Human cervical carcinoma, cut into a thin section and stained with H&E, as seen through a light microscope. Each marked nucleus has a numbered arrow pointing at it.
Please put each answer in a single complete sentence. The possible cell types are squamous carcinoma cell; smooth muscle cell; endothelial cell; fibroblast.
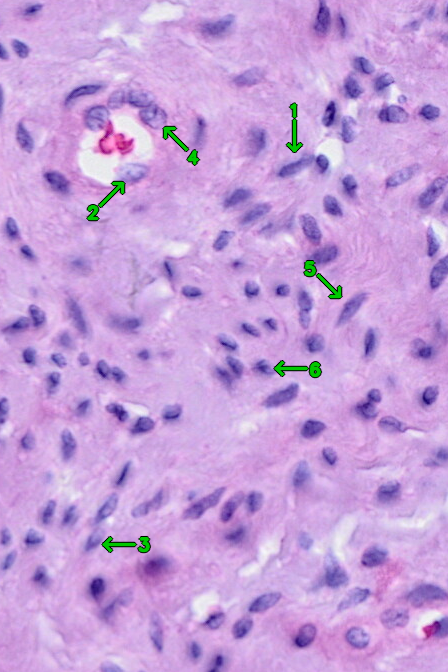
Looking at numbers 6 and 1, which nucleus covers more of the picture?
At about 3 times the area of nucleus 6, nucleus 1 is the larger of the two.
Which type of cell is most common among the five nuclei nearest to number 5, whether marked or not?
Around number 5, most of the five nearest nuclei are those of fibroblasts.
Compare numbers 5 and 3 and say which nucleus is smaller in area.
Nucleus 3 covers less area, with nucleus 5 about 2 times as large.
